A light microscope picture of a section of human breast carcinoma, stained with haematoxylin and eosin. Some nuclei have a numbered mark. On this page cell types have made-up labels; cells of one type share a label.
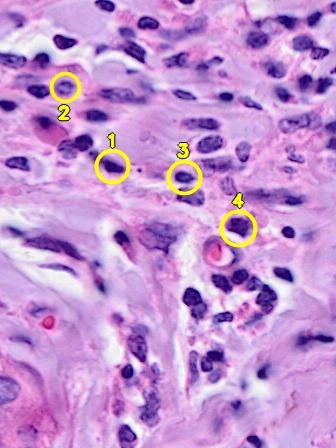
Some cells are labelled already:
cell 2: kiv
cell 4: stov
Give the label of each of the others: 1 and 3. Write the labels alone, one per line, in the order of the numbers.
stov
stov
